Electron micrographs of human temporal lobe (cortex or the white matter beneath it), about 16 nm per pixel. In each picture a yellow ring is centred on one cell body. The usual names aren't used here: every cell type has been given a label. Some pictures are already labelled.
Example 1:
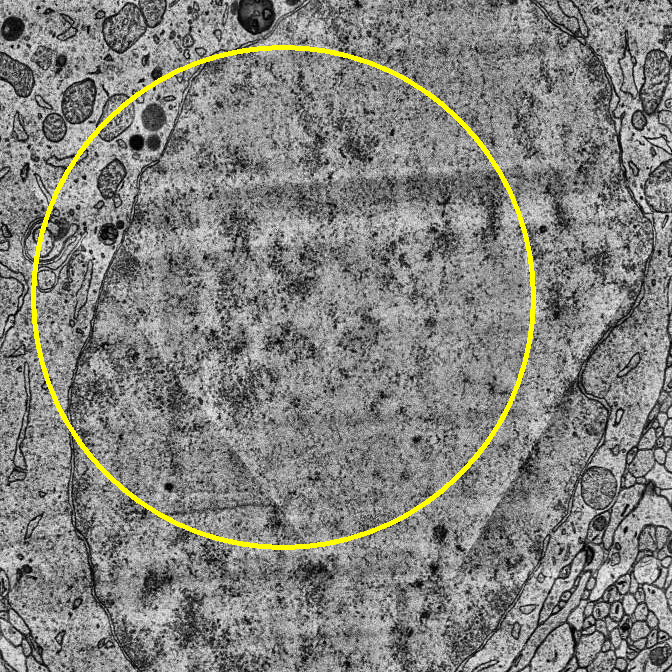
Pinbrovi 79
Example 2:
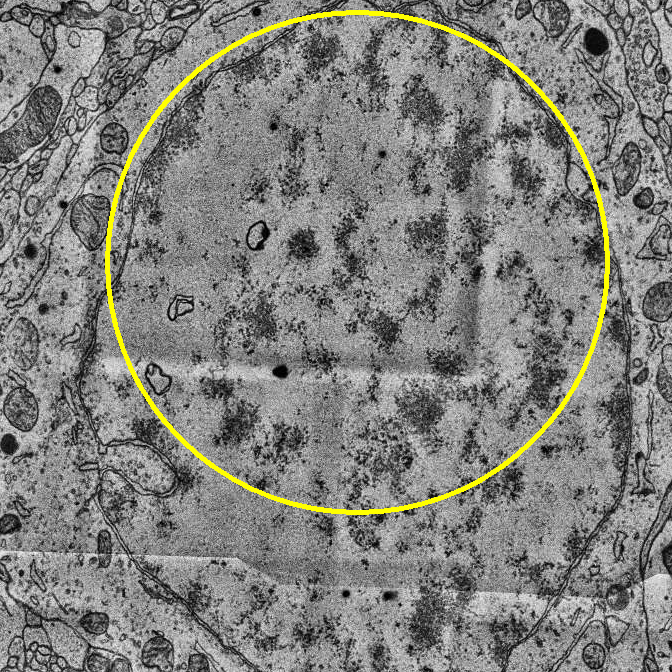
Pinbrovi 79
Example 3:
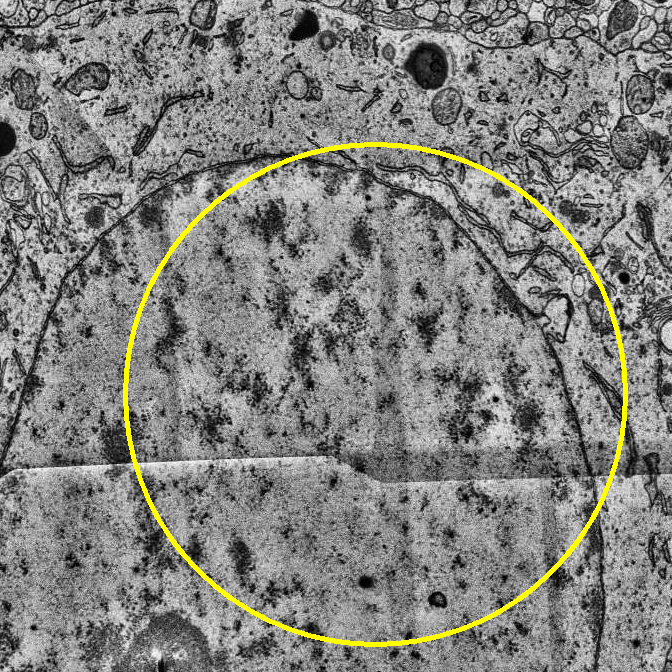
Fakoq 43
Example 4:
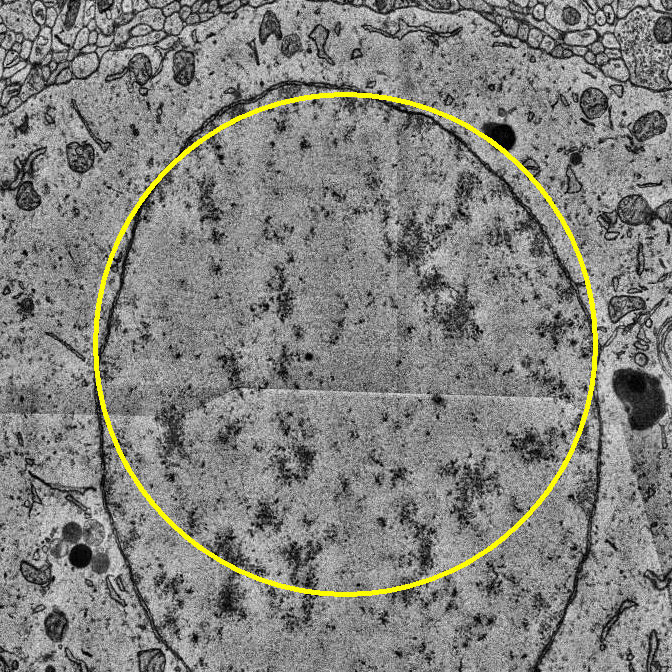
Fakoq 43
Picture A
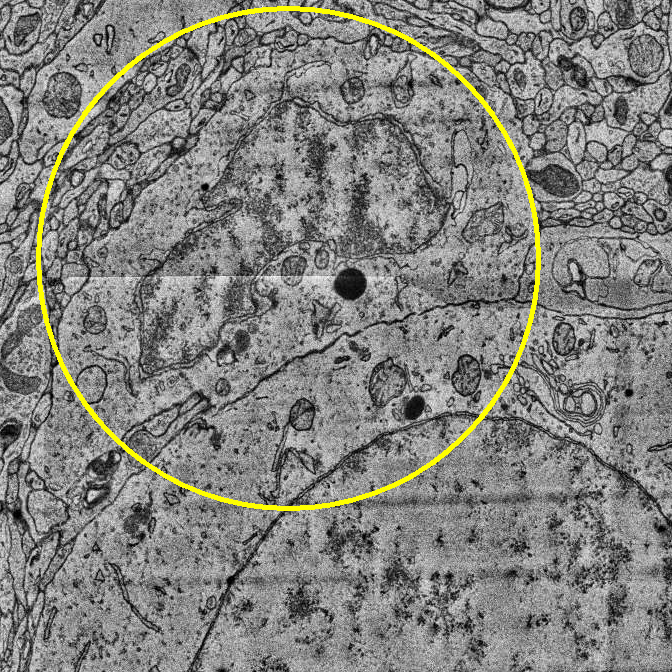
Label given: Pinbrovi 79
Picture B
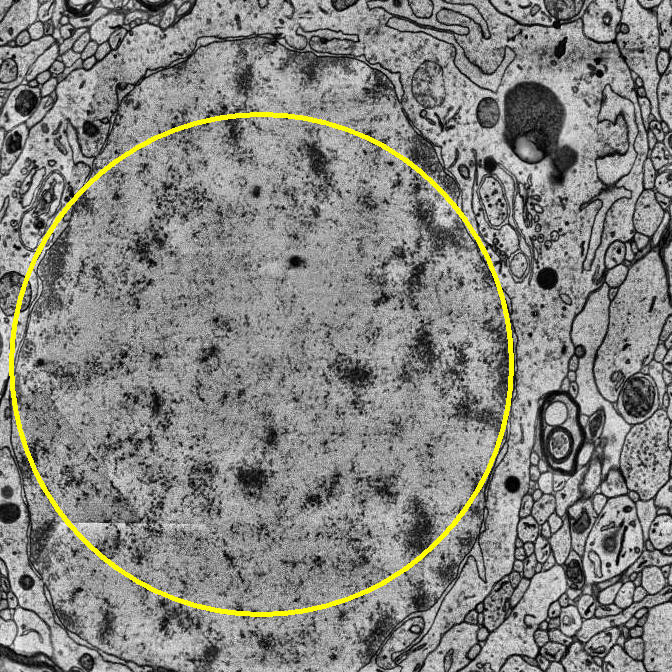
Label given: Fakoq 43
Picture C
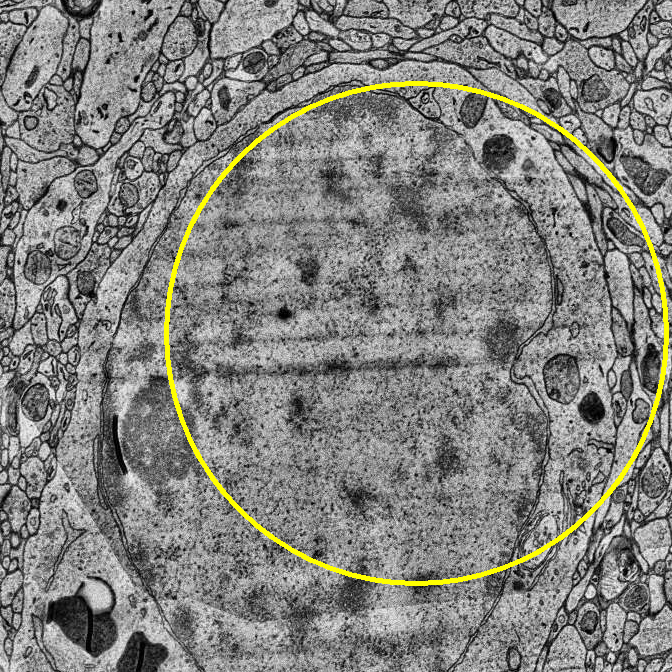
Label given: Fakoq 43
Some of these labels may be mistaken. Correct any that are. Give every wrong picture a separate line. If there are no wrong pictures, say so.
B: change Fakoq 43 to Pinbrovi 79
C: change Fakoq 43 to Pinbrovi 79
